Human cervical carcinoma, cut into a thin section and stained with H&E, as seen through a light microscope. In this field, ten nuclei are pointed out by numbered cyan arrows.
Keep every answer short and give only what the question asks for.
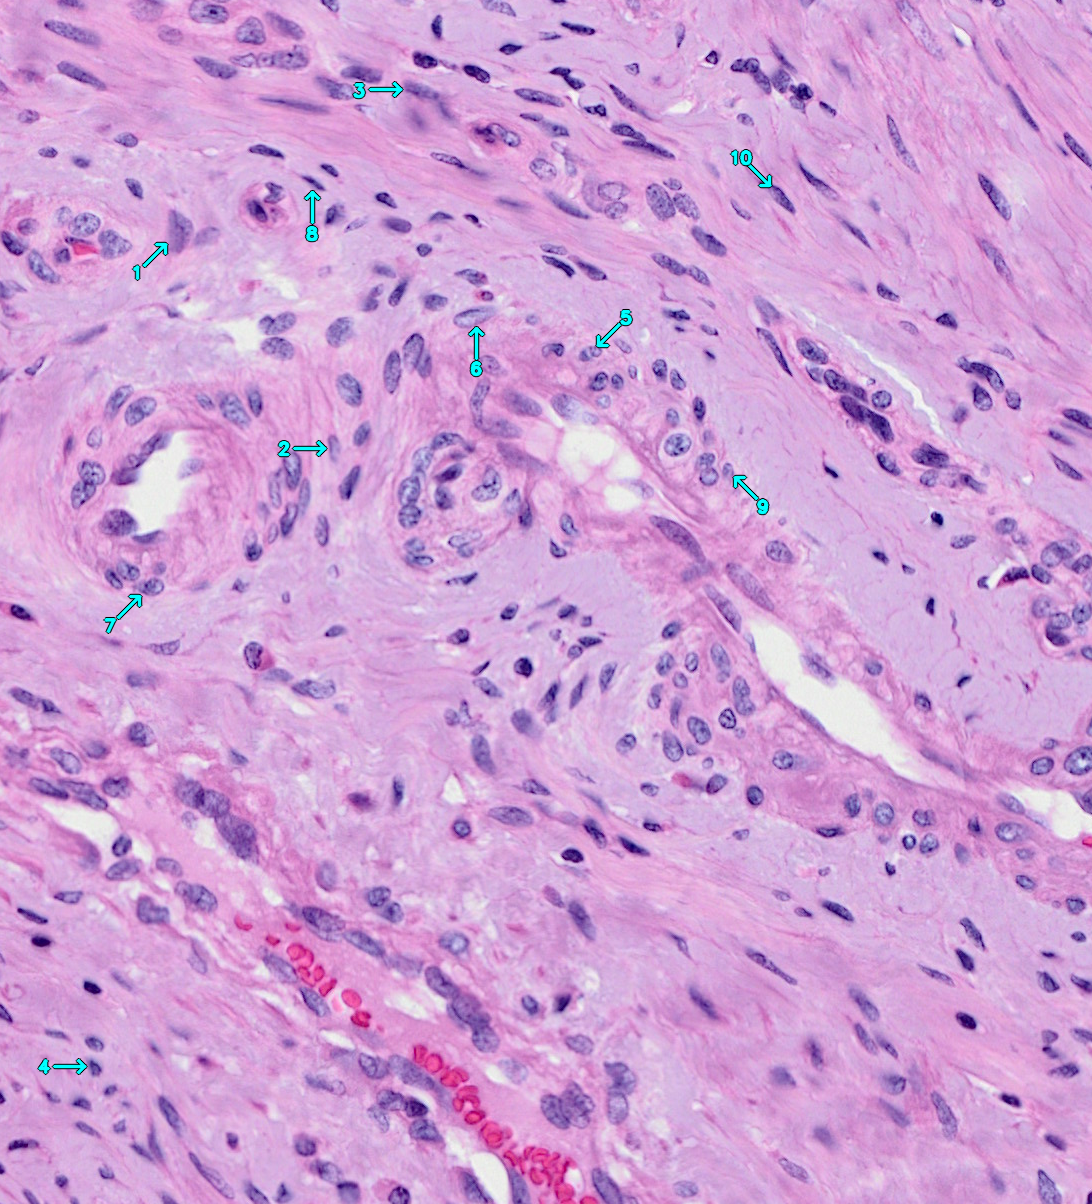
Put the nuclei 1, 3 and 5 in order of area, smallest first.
5, 3, 1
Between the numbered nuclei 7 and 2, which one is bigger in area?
7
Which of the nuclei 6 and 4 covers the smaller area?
4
